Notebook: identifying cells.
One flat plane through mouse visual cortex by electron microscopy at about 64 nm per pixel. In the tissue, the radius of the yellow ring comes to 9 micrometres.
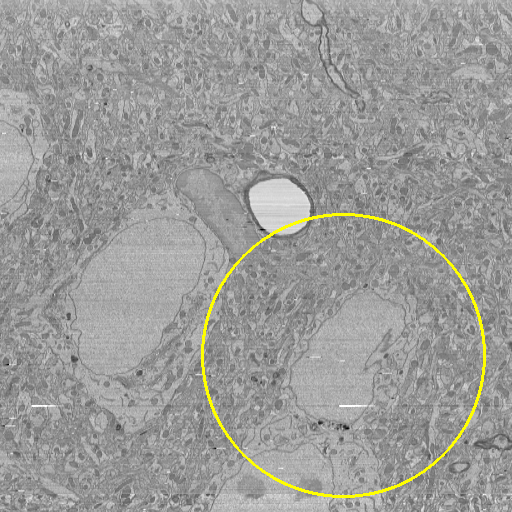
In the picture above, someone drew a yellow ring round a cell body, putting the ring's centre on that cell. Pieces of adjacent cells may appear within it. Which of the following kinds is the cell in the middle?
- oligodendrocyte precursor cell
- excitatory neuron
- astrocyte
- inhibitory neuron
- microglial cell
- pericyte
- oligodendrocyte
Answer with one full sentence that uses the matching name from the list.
In this picture, the yellow ring is centred on the body of an inhibitory neuron.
